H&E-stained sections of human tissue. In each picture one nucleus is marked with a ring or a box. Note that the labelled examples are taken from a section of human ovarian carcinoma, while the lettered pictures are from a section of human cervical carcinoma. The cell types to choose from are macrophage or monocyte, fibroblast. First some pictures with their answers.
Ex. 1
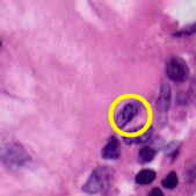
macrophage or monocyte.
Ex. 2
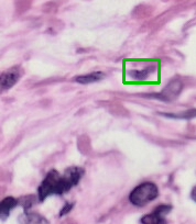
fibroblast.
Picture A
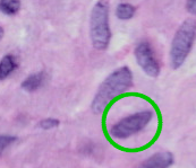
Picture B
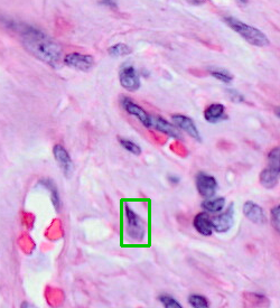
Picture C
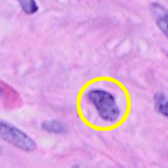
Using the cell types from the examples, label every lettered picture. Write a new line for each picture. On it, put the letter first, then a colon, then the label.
A: fibroblast.
B: macrophage or monocyte.
C: fibroblast.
